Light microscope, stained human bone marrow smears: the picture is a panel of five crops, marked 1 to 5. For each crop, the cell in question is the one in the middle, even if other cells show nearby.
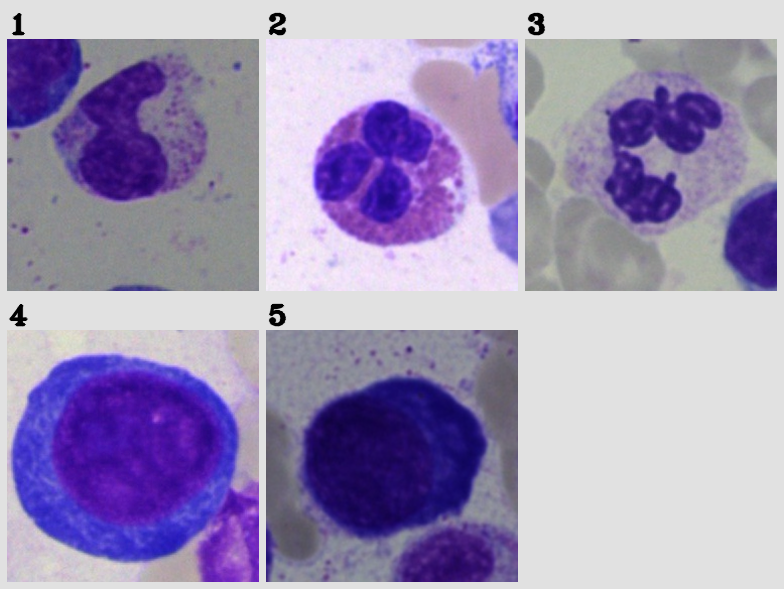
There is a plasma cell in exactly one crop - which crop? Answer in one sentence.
Among all the crops given here, the one with a plasma cell is crop 5.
